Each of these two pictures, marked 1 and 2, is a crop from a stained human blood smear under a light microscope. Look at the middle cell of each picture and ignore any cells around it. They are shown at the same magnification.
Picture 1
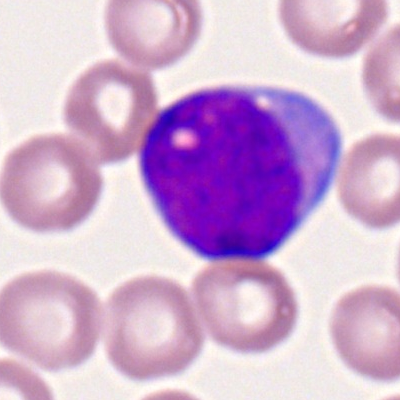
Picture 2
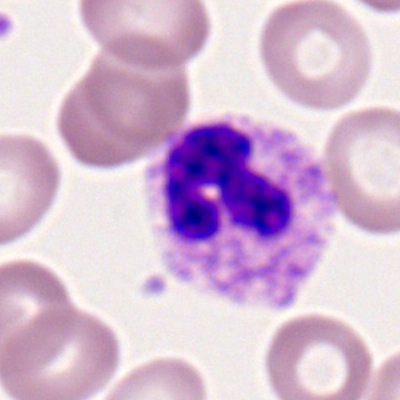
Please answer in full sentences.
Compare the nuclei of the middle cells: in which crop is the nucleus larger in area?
It is the nucleus in picture 1, about 2 times as large in area as the one in picture 2.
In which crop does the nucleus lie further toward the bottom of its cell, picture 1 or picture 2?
The nucleus in picture 1 lies further toward the bottom of its cell.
